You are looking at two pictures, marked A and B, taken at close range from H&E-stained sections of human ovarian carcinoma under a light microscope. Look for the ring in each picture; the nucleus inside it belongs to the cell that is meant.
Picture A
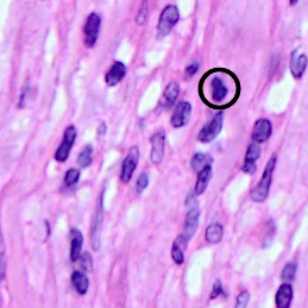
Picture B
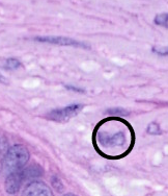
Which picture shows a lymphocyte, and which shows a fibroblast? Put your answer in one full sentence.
The cell in picture A is a lymphocyte, and the one in picture B is a fibroblast.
